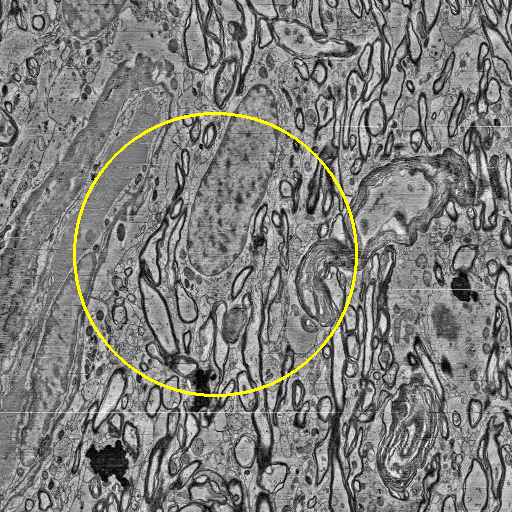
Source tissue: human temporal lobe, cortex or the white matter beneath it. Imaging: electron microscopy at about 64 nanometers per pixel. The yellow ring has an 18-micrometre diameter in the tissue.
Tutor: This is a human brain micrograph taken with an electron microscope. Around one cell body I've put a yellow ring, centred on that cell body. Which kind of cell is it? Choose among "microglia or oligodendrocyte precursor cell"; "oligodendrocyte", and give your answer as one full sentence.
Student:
Going by your list, the cell centred in the yellow ring is a microglial cell or oligodendrocyte precursor cell.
